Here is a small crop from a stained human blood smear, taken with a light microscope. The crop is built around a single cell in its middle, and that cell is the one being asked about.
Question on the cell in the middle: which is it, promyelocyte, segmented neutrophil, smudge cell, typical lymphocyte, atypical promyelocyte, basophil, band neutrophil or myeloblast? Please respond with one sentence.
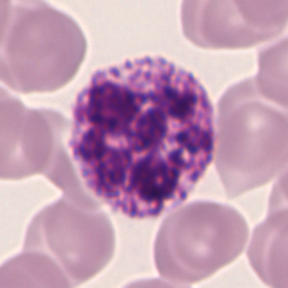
Where the crop is centred, there is a basophil.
